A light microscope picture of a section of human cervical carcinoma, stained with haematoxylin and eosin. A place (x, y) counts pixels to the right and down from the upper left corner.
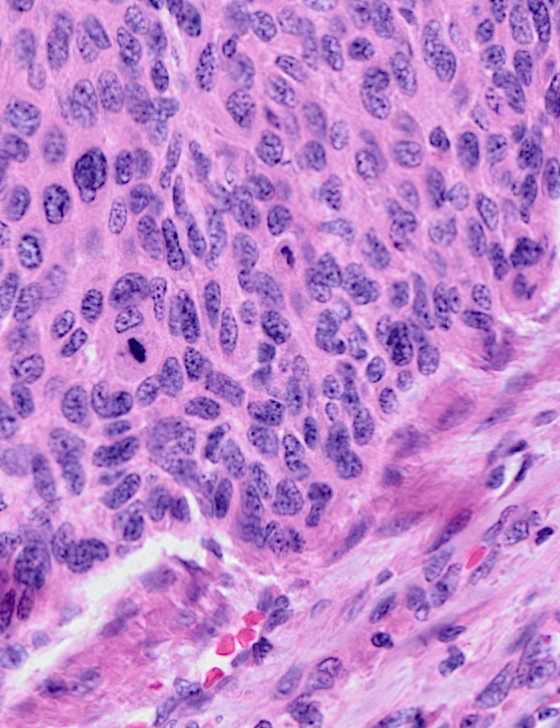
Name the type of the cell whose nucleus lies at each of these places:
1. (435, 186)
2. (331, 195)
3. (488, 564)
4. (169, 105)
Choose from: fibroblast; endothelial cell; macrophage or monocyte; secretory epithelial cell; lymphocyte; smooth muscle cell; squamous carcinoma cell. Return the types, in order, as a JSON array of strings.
["squamous carcinoma cell", "squamous carcinoma cell", "endothelial cell", "squamous carcinoma cell"]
